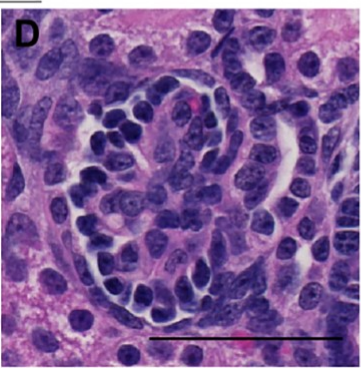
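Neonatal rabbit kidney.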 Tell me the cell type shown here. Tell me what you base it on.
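A continuous row of dark-staining rounded nuclei lines the rim of the tuft. The lining cells sit just inside a thin clear space. The answer: podocytes.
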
